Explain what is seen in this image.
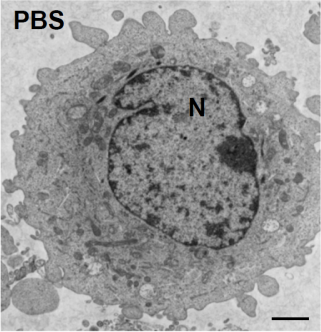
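A single cell is seen with many short projections along its surface and a large oval nucleus in the middle. The cytoplasm around it is fairly dense and holds small organelles without large clear spaces. This is an intact cell with a well-bounded nucleus.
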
